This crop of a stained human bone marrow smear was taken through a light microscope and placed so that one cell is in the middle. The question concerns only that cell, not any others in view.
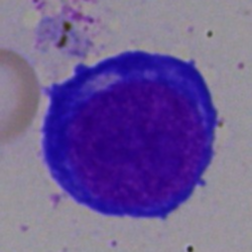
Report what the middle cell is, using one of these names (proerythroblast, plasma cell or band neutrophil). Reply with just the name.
proerythroblast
